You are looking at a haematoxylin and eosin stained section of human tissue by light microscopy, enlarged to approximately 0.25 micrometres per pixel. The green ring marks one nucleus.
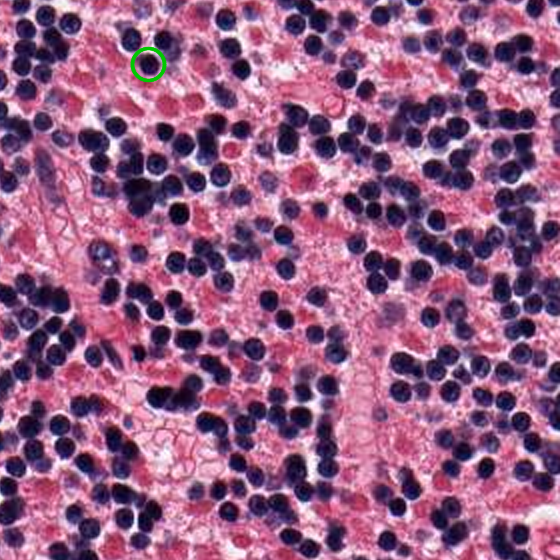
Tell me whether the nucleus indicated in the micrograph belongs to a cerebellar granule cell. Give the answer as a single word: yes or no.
yes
